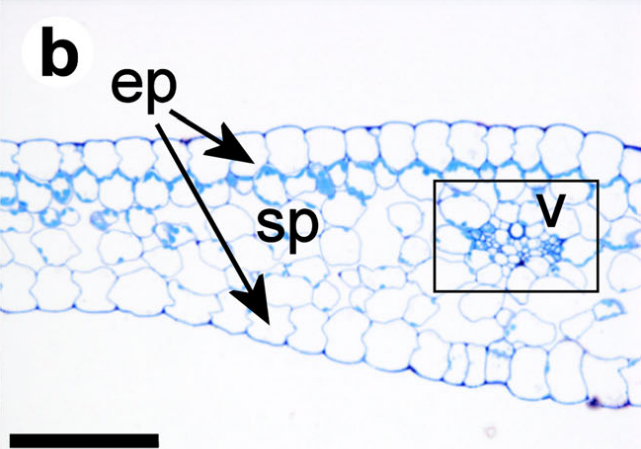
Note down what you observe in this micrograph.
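This is a cross section through a thin leaf, bounded above and below by a single-layered epidermis, with spongy parenchyma in between and one vascular strand. The interior is filled by large, thin-walled parenchyma cells, and those toward the upper side hold more blue-stained contents than those toward the lower side. At one side lies the vascular strand, a compact cluster of small cells with a thick-walled cell in its centre.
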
